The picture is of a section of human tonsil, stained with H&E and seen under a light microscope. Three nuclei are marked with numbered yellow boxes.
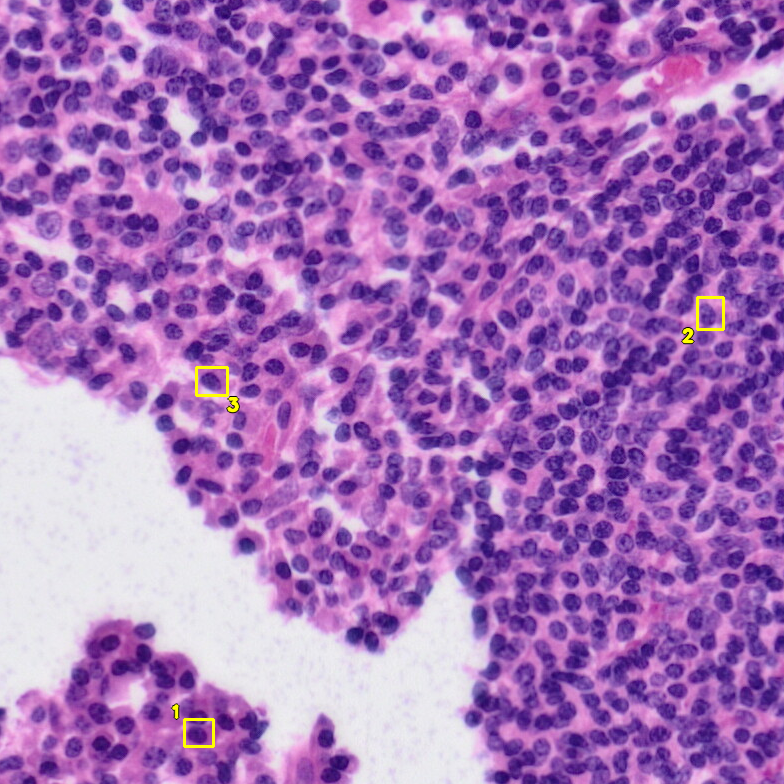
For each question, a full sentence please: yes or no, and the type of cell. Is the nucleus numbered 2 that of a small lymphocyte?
Yes, the numbered nucleus 2 is that of a small lymphocyte.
